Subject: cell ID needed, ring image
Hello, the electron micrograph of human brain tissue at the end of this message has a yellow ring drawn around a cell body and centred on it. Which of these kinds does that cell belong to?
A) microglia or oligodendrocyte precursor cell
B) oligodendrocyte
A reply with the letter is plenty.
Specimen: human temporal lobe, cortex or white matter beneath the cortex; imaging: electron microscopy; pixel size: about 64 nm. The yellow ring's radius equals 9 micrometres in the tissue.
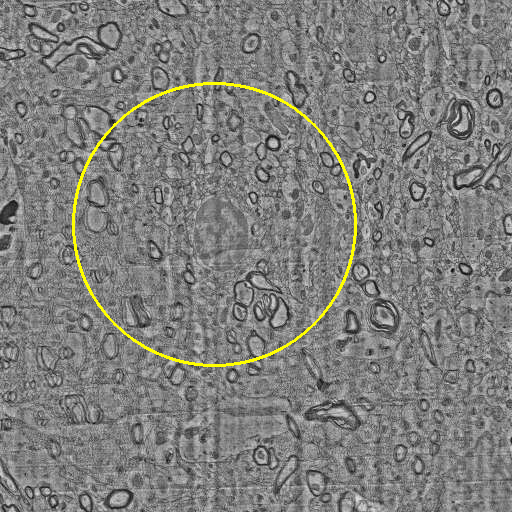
A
